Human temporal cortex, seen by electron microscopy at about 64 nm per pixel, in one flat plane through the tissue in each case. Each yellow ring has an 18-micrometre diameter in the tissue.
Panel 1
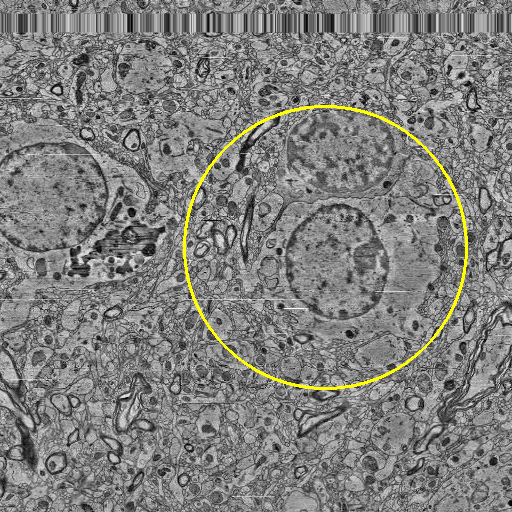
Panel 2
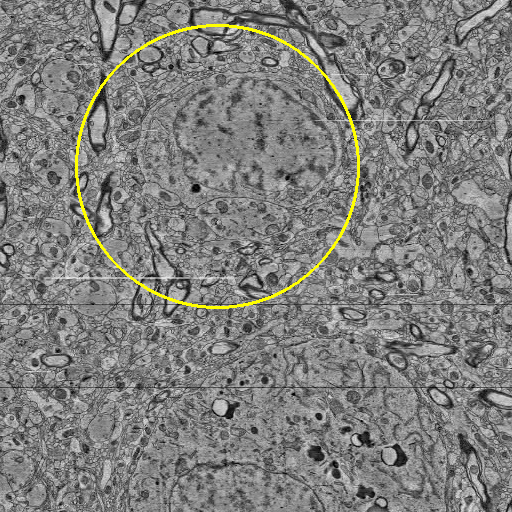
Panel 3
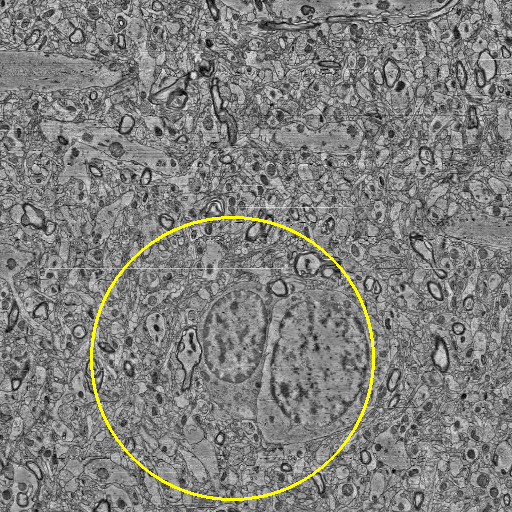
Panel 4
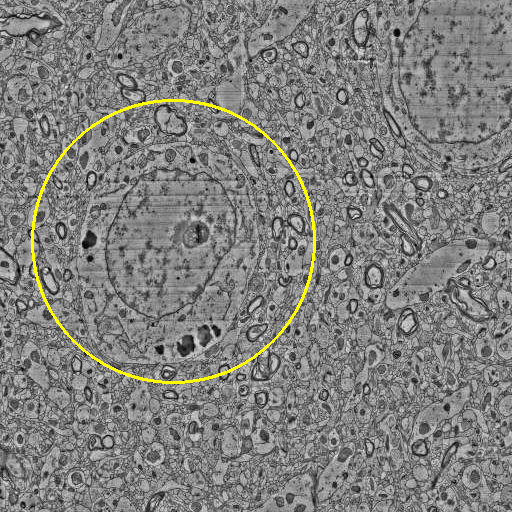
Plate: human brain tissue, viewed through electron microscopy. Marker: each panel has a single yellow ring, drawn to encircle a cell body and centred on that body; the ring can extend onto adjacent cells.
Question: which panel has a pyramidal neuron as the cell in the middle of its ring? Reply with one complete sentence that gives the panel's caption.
Panel 4 is where the requested cell sits at the centre of the ring.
